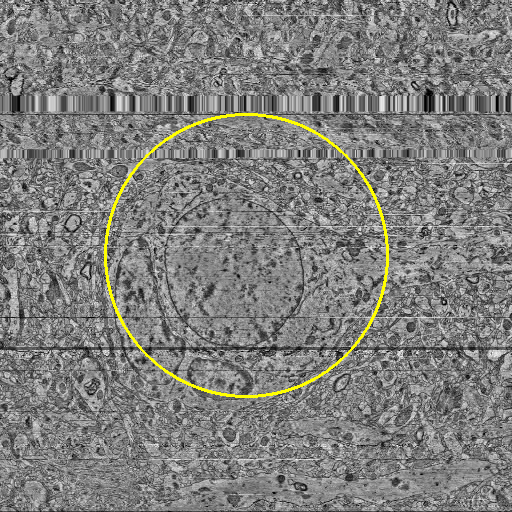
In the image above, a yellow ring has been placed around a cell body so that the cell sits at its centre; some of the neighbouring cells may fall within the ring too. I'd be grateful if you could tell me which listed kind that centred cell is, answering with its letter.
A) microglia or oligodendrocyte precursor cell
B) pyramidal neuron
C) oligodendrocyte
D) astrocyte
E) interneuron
B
